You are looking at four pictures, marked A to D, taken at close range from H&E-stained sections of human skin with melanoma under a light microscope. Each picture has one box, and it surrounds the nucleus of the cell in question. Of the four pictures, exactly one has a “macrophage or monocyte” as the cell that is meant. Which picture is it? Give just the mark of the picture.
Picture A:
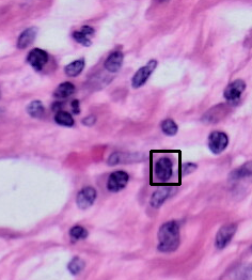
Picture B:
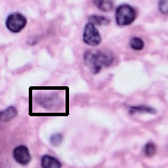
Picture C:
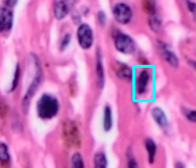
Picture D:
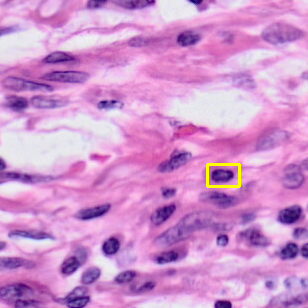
B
